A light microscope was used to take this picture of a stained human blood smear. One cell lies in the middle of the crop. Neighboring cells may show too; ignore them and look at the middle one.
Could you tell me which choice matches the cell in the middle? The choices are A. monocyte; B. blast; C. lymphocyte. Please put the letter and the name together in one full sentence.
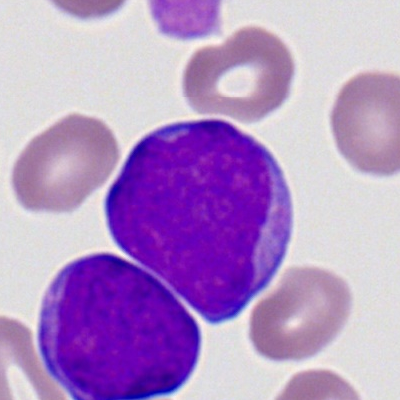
The correct identification, given in option B, is that the central cell is a blast.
